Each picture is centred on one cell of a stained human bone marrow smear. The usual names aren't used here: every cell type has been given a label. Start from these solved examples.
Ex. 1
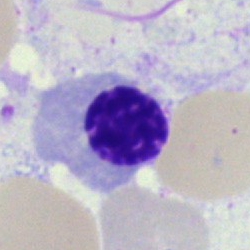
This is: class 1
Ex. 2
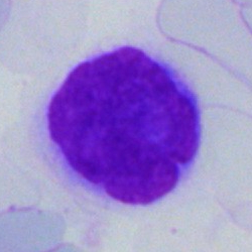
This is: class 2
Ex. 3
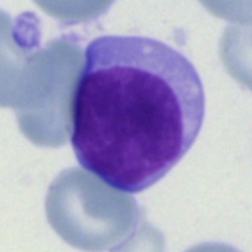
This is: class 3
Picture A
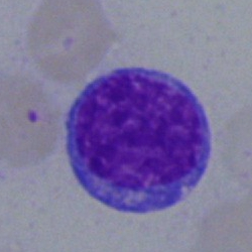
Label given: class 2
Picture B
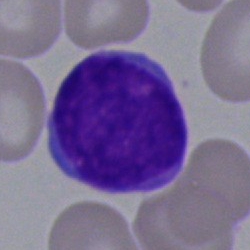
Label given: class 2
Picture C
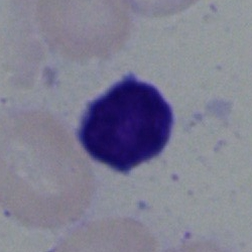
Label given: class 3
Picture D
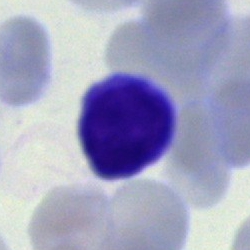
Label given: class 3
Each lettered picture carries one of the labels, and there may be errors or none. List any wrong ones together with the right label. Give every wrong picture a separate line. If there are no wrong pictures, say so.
All correct.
